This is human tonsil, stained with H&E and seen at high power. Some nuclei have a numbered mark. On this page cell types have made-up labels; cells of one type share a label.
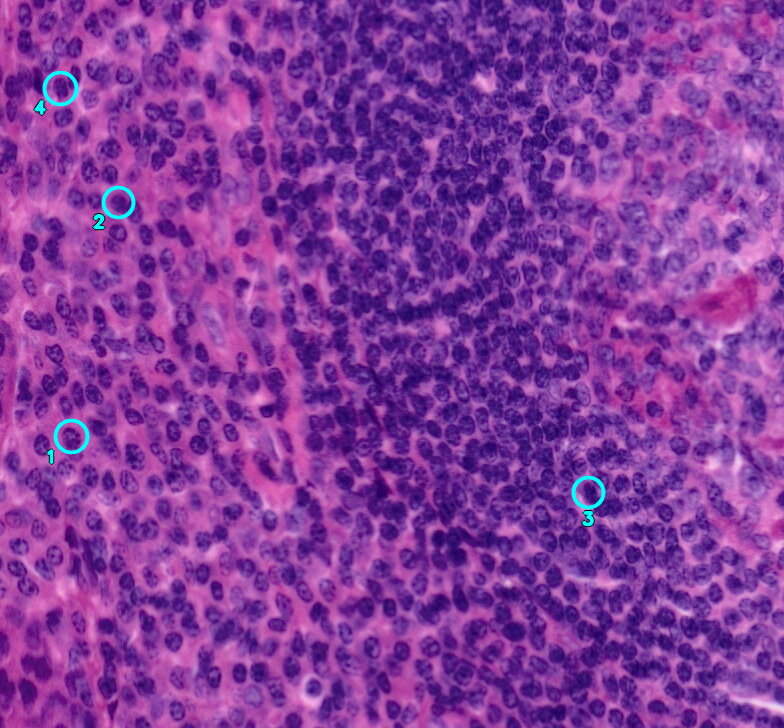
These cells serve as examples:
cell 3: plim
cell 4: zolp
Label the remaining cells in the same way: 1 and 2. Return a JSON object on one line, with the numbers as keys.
{"1": "zolp", "2": "zolp"}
